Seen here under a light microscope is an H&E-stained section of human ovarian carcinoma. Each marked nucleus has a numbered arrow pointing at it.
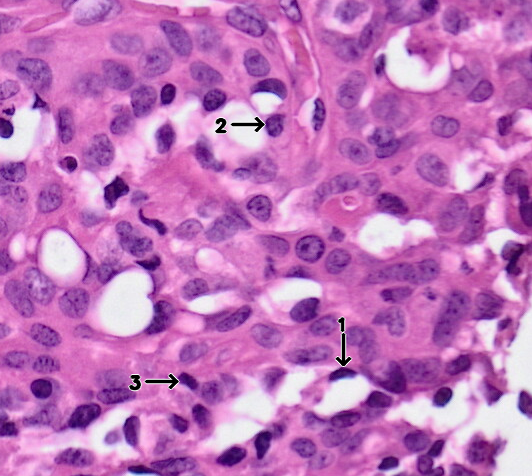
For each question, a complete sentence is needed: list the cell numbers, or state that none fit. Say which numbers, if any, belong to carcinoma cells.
In terms of cell type, cells 1 and 3 are carcinoma cells.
